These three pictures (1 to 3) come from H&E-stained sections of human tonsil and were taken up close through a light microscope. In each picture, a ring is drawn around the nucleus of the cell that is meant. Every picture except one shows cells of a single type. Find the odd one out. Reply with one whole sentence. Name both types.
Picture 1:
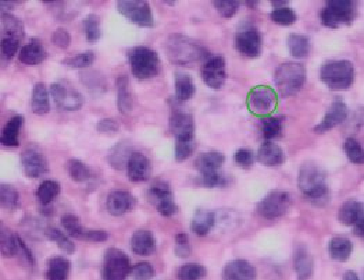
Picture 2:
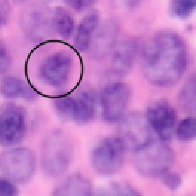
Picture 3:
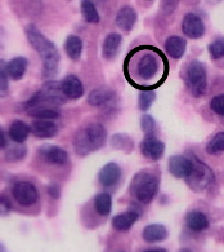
Picture 3 is the odd one out: it shows a plasma cell, while the others show proliferating B cells.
